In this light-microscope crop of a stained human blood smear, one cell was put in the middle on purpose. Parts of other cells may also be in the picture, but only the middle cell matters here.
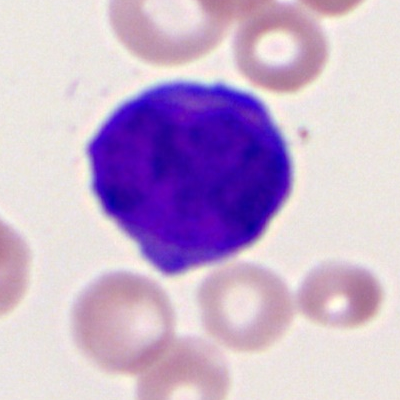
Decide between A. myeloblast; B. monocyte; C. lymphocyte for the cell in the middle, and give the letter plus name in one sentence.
The best answer is option A, since the cell in the middle is a myeloblast.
